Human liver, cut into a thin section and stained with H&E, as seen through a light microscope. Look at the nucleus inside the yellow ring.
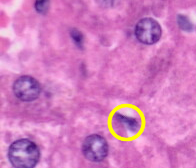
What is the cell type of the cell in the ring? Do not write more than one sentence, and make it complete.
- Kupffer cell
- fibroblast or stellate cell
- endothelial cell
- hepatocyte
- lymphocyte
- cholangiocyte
Students should answer that the cell in the ring is an endothelial cell.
